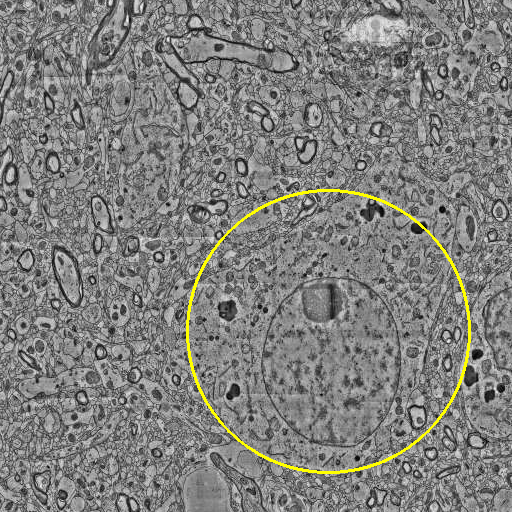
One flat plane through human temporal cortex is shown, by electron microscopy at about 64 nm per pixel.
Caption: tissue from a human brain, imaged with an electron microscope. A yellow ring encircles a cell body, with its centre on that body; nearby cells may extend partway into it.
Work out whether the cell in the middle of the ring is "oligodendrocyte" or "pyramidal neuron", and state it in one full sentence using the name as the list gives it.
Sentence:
In the picture, the cell that the yellow ring surrounds at its centre is a pyramidal neuron.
